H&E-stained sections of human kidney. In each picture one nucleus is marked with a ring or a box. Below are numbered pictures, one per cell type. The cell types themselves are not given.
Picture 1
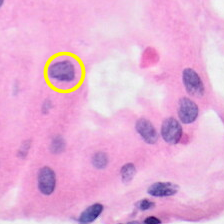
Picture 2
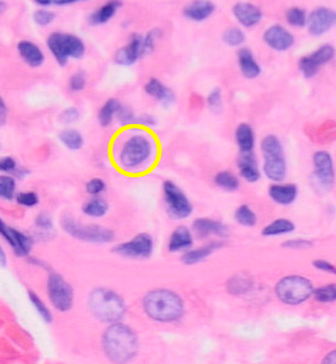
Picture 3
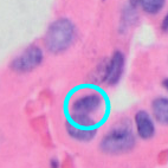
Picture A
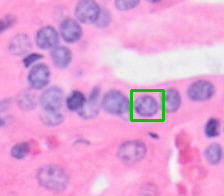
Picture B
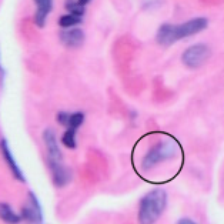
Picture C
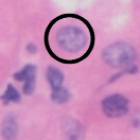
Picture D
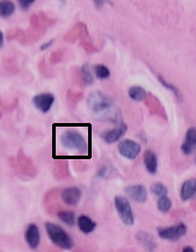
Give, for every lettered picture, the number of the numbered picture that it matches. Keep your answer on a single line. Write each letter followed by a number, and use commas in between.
A 3, B 2, C 1, D 2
